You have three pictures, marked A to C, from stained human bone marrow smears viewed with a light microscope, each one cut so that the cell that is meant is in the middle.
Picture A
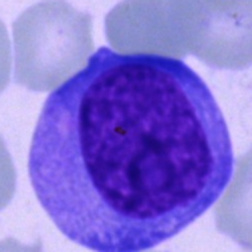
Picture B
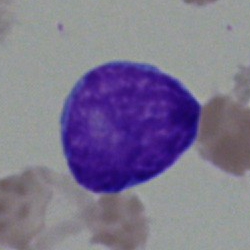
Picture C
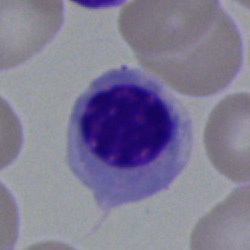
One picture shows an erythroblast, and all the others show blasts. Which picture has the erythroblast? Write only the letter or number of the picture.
C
